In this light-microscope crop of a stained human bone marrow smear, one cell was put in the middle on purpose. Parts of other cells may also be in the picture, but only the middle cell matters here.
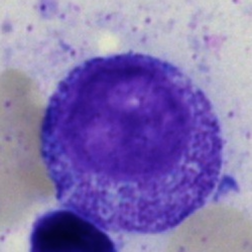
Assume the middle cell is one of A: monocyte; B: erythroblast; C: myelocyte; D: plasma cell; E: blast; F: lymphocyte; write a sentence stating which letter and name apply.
Option C gets it right: the cell in the middle is a myelocyte.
